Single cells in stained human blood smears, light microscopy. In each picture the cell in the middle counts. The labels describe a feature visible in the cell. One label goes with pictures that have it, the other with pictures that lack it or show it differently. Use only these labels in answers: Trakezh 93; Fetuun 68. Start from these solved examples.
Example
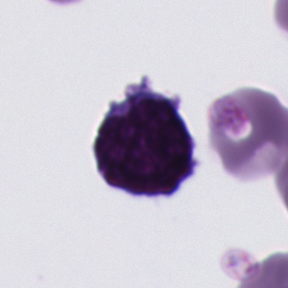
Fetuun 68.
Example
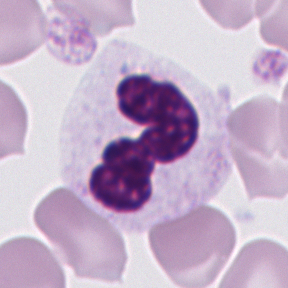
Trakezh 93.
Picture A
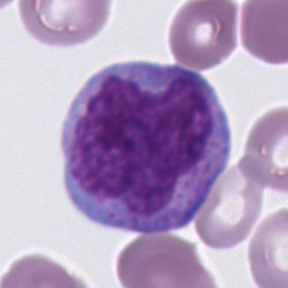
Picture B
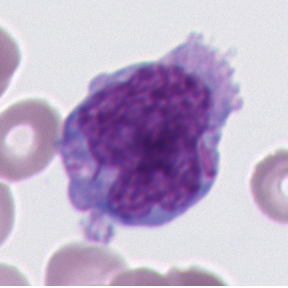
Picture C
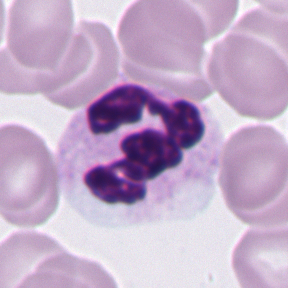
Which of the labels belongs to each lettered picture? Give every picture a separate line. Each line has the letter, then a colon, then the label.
A: Trakezh 93.
B: Fetuun 68.
C: Trakezh 93.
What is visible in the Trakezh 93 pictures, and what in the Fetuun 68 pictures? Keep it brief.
Trakezh 93: smooth outline; Fetuun 68: ragged outline or projections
